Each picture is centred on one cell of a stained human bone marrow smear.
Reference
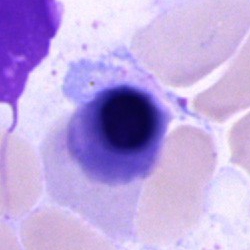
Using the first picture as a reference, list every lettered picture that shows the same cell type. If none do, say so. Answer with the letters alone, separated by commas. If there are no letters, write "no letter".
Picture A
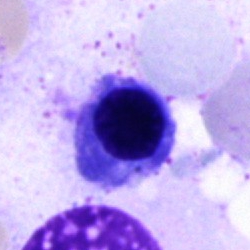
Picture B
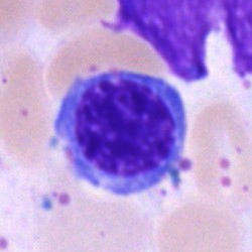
A, B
